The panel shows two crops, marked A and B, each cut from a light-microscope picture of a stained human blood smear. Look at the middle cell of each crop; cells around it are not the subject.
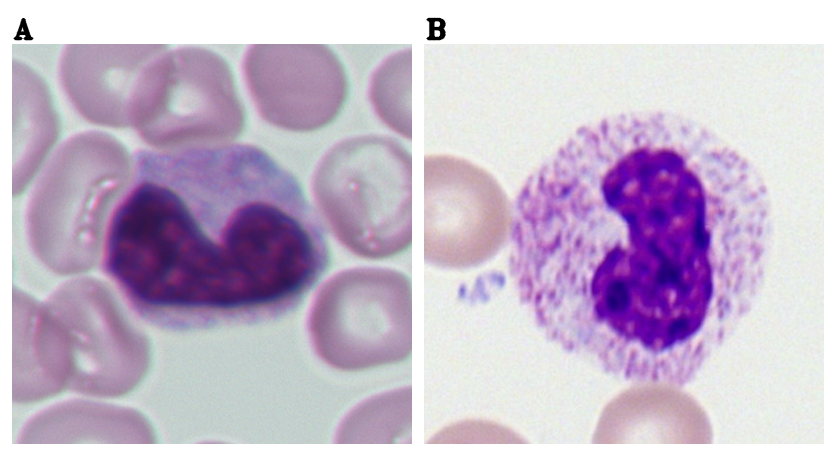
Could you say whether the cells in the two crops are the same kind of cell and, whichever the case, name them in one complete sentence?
Yes, in the case of both crops, the central cells are band neutrophils.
